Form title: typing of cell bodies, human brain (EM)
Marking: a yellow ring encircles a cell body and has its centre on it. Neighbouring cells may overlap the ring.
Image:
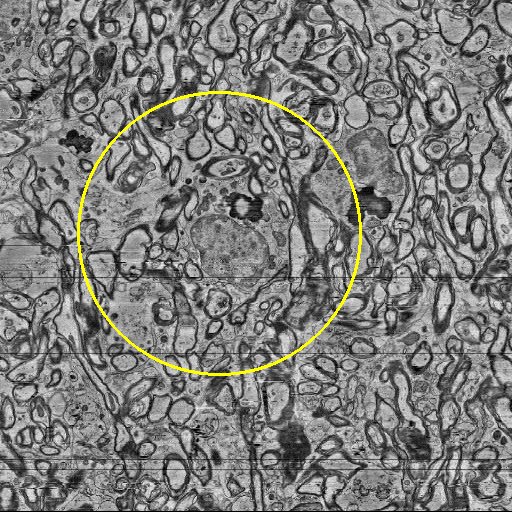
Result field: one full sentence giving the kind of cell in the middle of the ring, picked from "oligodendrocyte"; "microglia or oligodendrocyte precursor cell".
In the picture, the ring is centred on an oligodendrocyte, whose cell body it encircles.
